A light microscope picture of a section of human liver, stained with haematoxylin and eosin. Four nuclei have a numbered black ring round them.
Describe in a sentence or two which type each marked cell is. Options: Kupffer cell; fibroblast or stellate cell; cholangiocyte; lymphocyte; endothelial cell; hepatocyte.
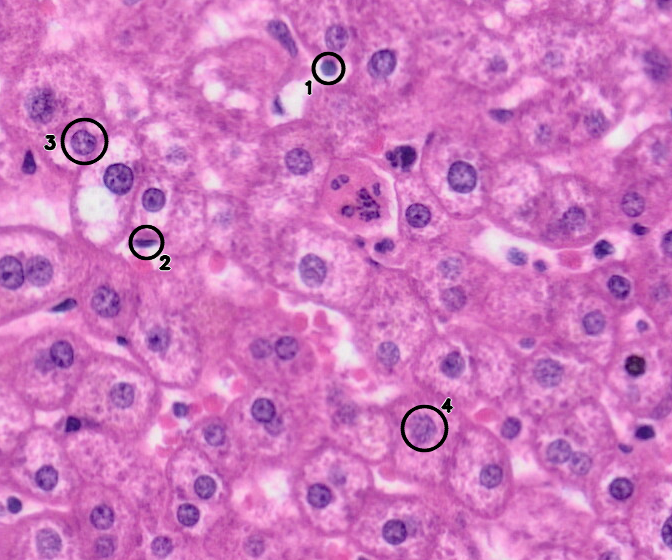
Cell 1 is a lymphocyte, cell 2 is an endothelial cell, cell 3 is a hepatocyte and cell 4 is a hepatocyte.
